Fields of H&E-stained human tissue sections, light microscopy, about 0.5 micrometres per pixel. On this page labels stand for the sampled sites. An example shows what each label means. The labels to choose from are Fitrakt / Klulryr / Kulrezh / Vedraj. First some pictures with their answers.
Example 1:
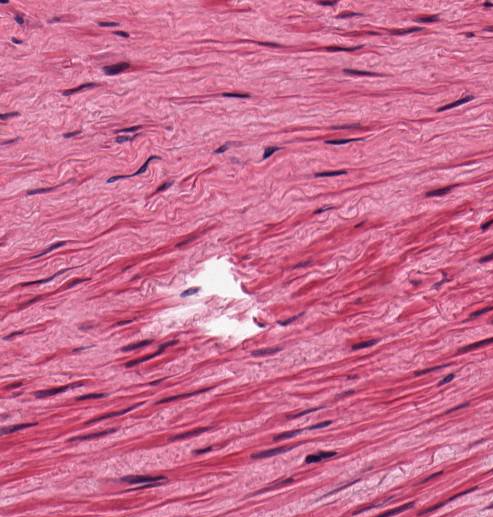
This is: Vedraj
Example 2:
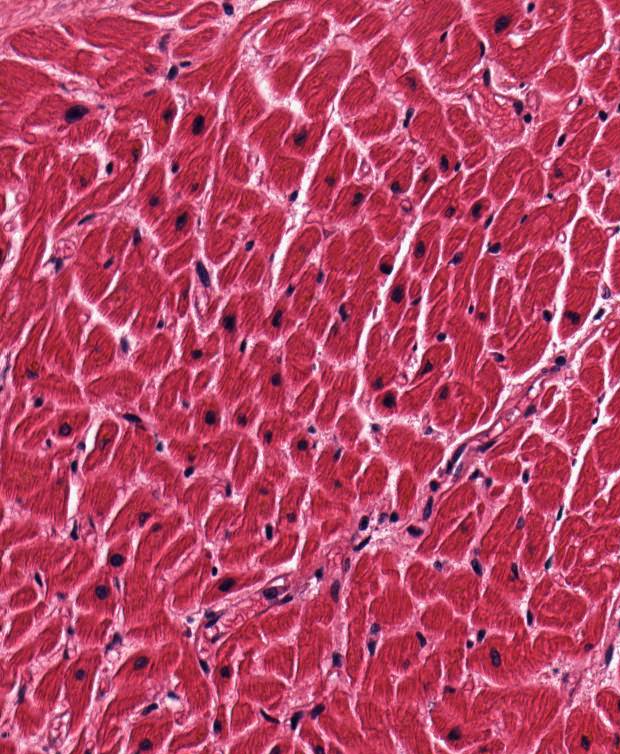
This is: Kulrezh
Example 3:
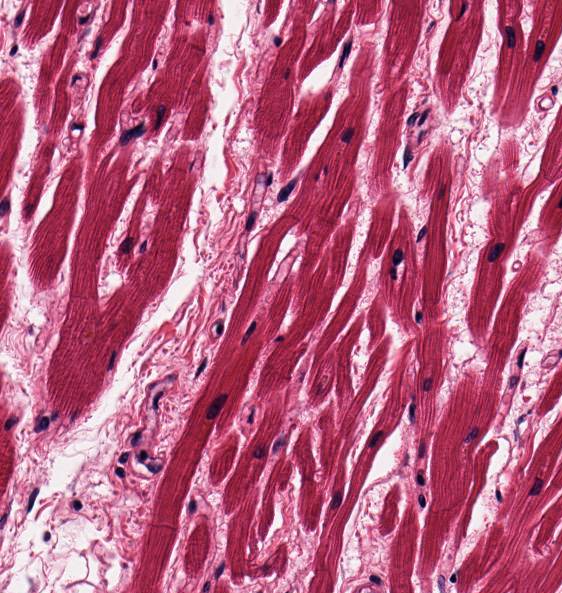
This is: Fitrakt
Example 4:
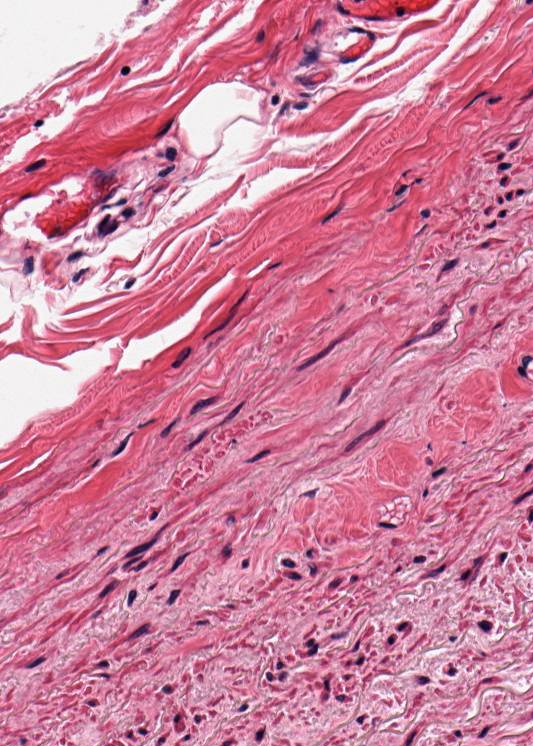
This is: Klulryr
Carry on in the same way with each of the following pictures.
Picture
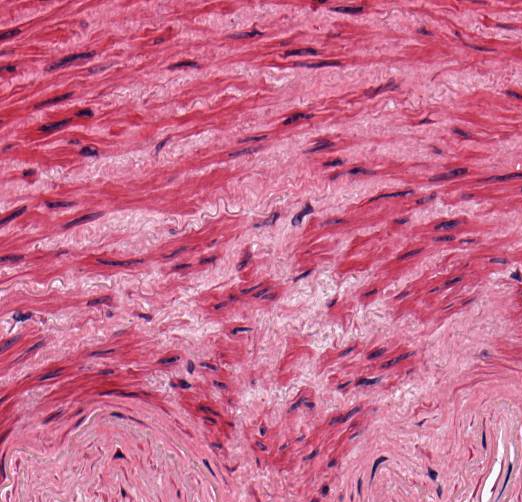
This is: Vedraj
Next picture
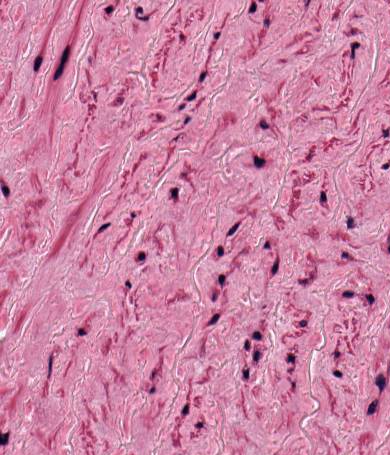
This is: Klulryr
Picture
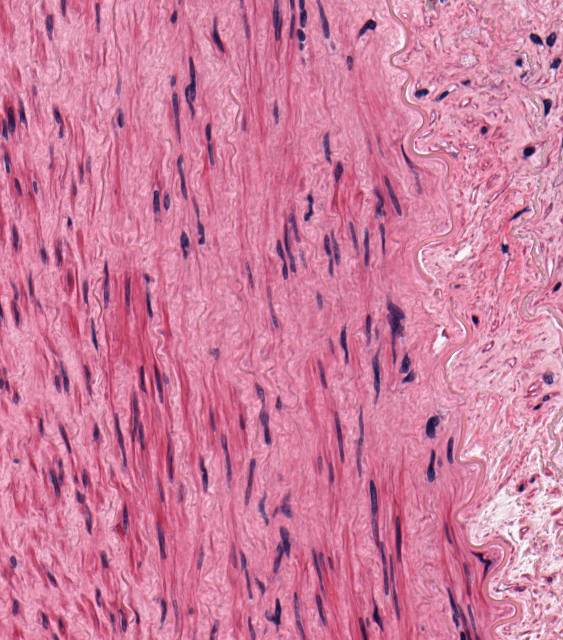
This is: Vedraj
